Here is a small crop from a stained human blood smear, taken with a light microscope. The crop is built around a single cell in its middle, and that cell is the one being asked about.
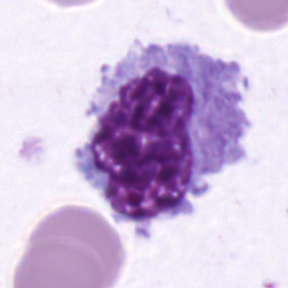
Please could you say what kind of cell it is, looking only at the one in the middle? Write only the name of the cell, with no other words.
plasma cell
